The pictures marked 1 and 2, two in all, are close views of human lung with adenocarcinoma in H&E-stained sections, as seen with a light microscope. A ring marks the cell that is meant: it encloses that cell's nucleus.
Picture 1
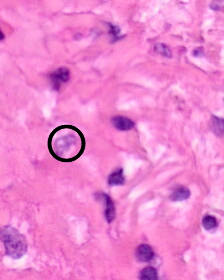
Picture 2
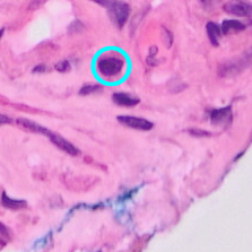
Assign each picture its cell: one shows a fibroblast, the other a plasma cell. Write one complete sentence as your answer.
In picture 1 the cell is a fibroblast; in picture 2, a plasma cell.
